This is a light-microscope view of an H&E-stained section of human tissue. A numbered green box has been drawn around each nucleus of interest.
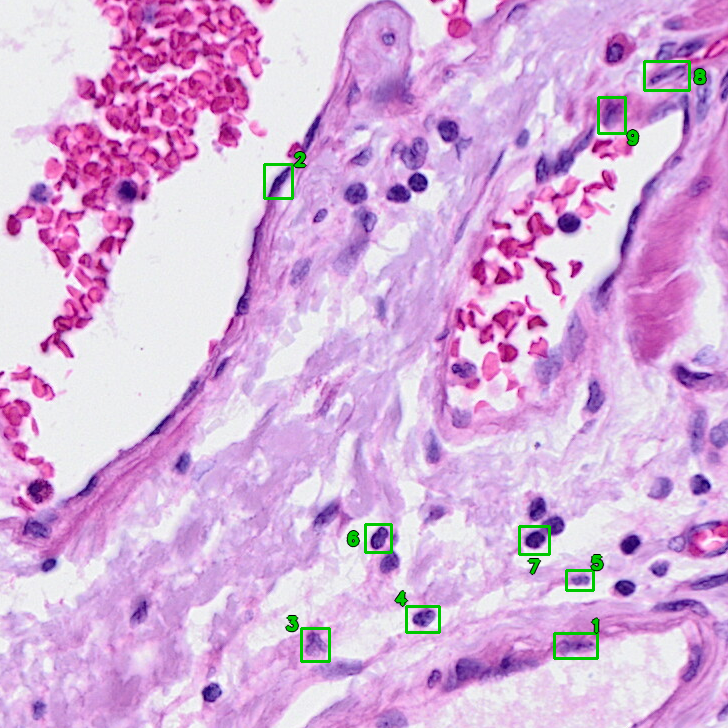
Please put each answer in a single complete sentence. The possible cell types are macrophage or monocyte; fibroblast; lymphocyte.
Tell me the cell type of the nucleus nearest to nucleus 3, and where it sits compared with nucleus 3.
Just below and to the right of nucleus 3 lies the nearest nucleus, which belongs to a fibroblast.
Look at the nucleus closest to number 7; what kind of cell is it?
The nucleus nearest to number 7 is that of a lymphocyte.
